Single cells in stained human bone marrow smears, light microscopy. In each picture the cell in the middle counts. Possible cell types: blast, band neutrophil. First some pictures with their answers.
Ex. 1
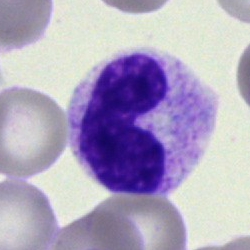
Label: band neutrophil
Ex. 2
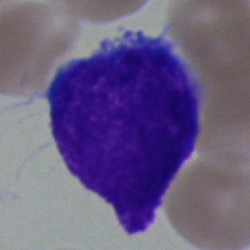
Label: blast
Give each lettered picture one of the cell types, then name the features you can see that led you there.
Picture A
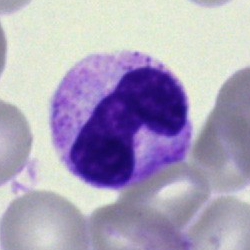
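band neutrophil. Small purple granules are scattered through the cytoplasm.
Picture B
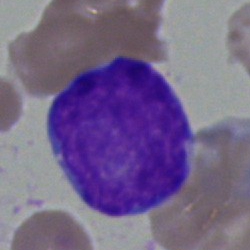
blast. The nucleus fills almost the whole cell.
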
